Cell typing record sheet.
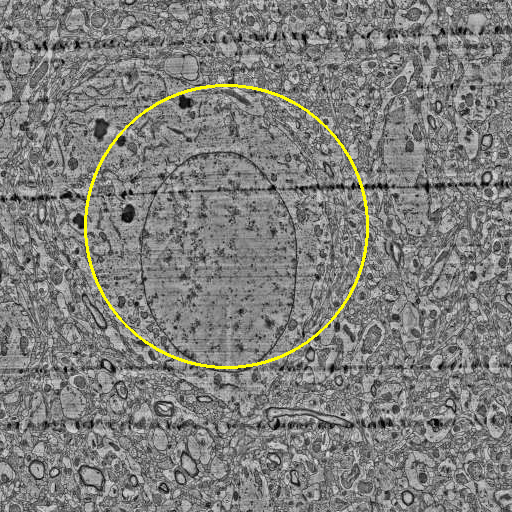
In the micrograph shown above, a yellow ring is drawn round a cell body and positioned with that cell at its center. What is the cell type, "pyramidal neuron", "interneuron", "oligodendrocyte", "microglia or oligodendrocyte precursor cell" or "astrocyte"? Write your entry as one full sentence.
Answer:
The cell body at the center of the ring belongs to a pyramidal neuron.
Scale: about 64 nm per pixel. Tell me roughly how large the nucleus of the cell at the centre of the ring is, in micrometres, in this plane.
The nucleus works out at approximately 14 by 10 micrometres in this plane.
